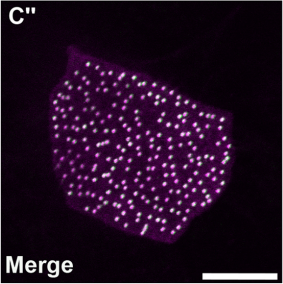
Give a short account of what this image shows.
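Apical view of a single multiciliated cell with its dense field of basal bodies. Nearly every dot appears white, where green and magenta coincide, so both signals sit on the same structures. A faint magenta haze outlines the polygonal cell border with straight edges and angled corners. A few dots look slightly elongated. The background outside the cell is dark, and no cilia shafts are visible at this focal plane.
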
